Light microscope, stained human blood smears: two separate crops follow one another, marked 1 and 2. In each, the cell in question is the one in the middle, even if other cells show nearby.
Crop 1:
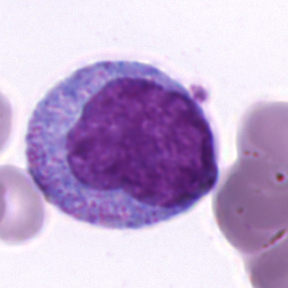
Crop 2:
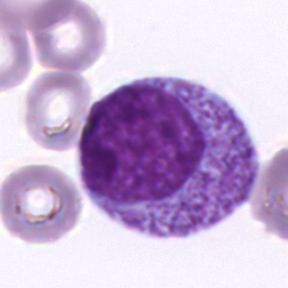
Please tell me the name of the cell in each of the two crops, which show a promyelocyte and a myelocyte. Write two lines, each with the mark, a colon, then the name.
1: promyelocyte
2: myelocyte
